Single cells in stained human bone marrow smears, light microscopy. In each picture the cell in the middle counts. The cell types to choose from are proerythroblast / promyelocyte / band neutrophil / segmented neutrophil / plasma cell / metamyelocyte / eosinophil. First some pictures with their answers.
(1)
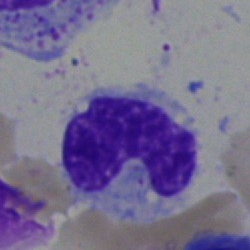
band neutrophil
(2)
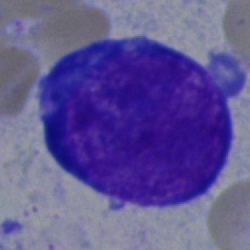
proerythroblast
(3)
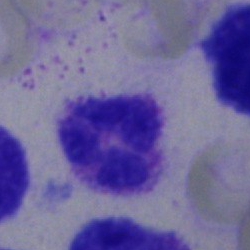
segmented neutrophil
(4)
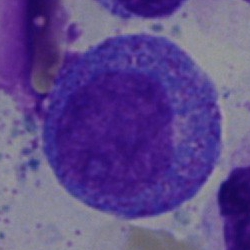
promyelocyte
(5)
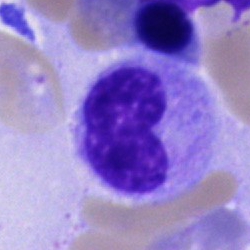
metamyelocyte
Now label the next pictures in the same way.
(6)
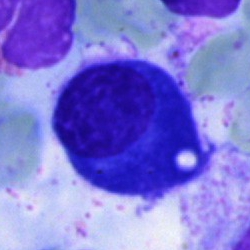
plasma cell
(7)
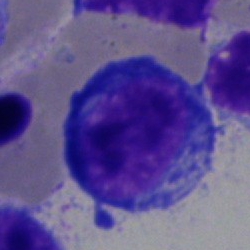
proerythroblast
